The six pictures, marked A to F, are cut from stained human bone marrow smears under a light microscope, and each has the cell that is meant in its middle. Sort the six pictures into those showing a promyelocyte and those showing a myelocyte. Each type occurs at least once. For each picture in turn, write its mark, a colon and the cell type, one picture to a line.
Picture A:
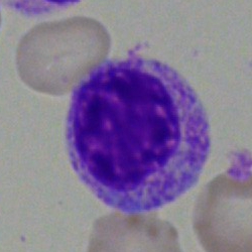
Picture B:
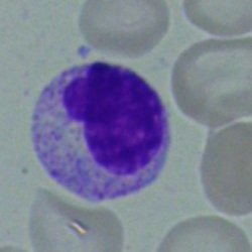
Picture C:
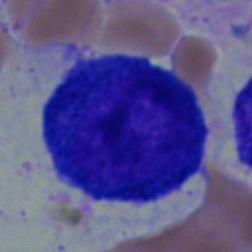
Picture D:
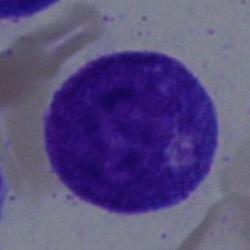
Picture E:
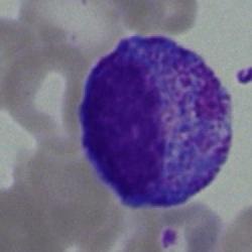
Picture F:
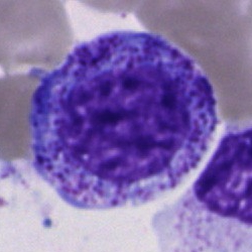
A: myelocyte
B: myelocyte
C: promyelocyte
D: promyelocyte
E: promyelocyte
F: promyelocyte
